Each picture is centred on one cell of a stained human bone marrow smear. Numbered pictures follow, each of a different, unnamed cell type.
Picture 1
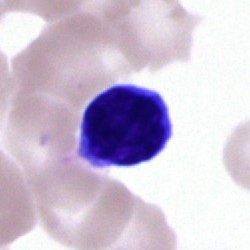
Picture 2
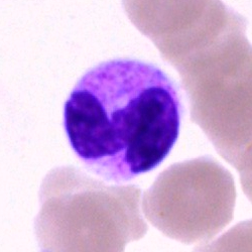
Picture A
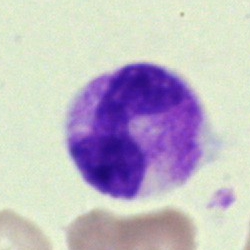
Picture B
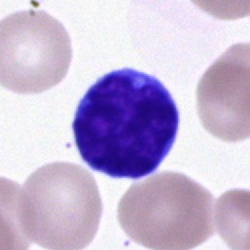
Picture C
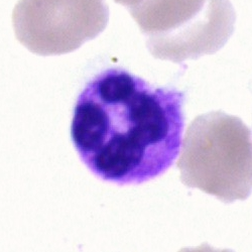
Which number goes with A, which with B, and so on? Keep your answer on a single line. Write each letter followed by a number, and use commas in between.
A 2, B 1, C 2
